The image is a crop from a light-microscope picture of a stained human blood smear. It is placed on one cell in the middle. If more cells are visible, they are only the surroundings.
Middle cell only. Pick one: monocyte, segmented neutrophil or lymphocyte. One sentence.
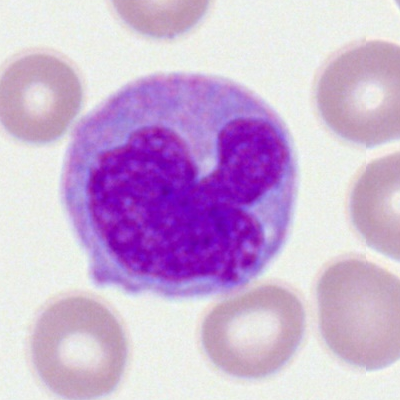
The cell sitting right in the middle is a monocyte.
